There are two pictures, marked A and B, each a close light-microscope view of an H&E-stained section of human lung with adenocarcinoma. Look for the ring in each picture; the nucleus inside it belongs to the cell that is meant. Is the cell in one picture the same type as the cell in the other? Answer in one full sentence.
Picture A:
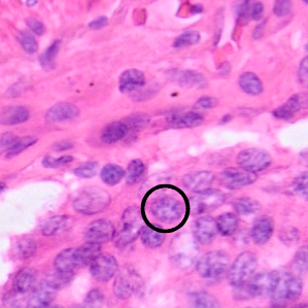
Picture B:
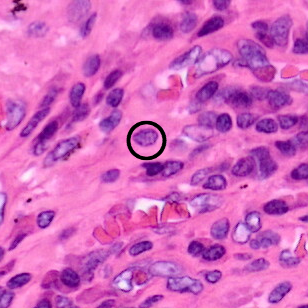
No, they differ: the cell is a ciliated epithelial cell in picture A and a mast cell in picture B.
